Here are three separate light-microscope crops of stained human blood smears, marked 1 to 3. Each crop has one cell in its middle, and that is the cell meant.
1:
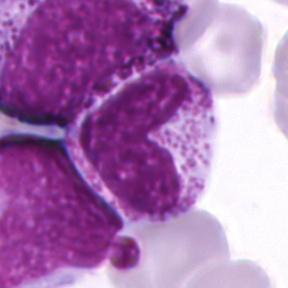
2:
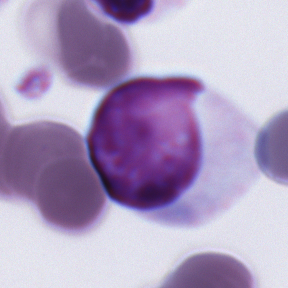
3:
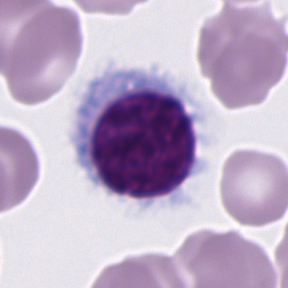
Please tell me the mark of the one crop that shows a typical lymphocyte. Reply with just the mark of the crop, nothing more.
2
